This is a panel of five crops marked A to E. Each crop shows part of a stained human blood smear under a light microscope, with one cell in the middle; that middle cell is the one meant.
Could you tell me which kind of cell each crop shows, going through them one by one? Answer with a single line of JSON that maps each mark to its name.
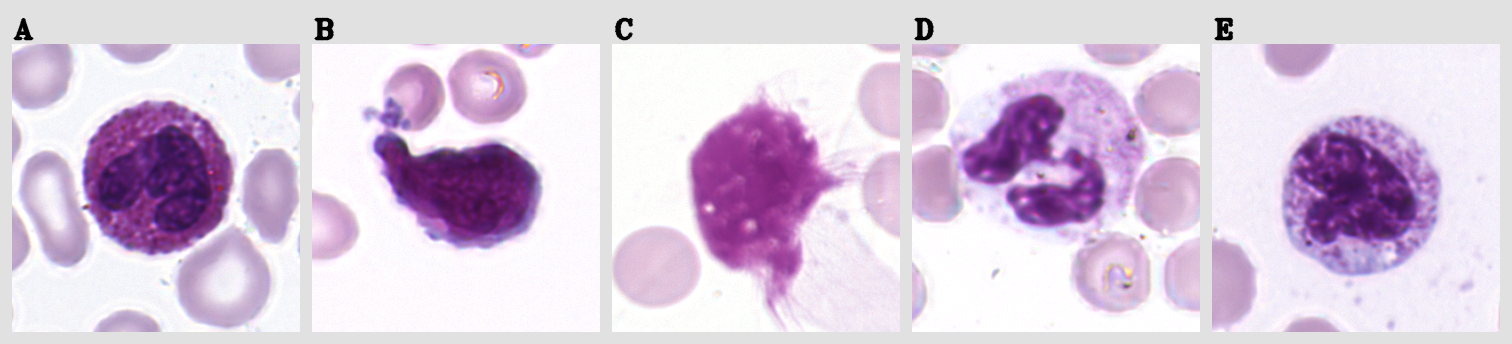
{"A": "eosinophil", "B": "atypical promyelocyte", "C": "smudge cell", "D": "segmented neutrophil", "E": "band neutrophil"}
